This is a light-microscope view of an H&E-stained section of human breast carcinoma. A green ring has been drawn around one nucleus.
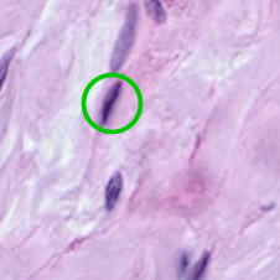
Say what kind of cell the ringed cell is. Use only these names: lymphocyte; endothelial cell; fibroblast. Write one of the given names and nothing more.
fibroblast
